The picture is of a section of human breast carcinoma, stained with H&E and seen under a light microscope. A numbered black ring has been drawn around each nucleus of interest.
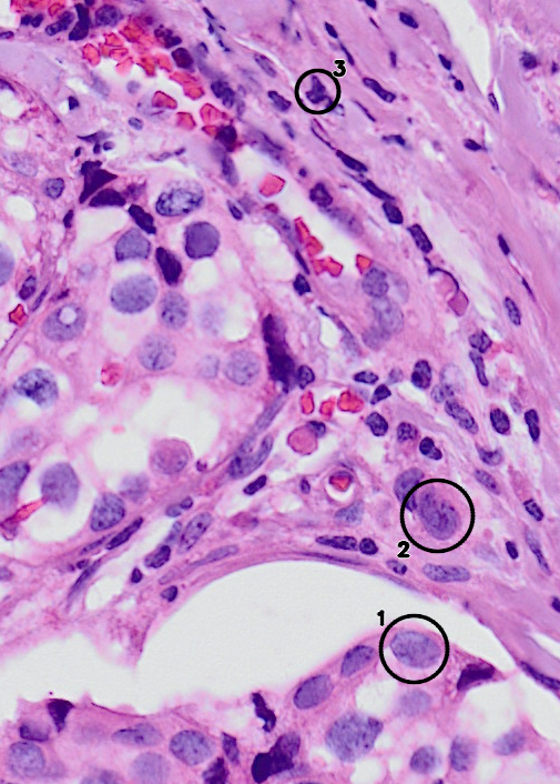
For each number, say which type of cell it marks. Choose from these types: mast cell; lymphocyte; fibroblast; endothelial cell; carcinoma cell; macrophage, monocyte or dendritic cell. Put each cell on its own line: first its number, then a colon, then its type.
1: carcinoma cell
2: carcinoma cell
3: lymphocyte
